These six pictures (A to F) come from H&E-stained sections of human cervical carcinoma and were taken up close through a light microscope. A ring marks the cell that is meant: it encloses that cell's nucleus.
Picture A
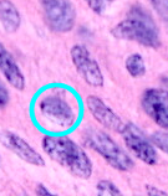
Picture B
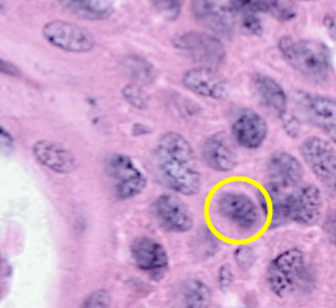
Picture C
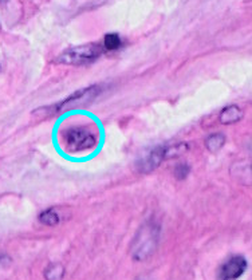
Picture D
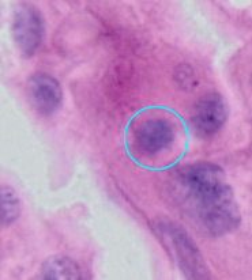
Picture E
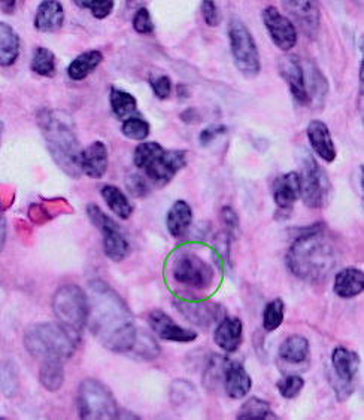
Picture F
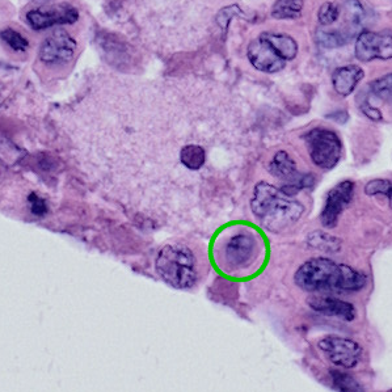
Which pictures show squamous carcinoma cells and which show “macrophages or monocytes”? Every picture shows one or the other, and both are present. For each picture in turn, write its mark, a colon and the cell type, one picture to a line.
A: squamous carcinoma cell
B: squamous carcinoma cell
C: macrophage or monocyte
D: squamous carcinoma cell
E: macrophage or monocyte
F: squamous carcinoma cell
